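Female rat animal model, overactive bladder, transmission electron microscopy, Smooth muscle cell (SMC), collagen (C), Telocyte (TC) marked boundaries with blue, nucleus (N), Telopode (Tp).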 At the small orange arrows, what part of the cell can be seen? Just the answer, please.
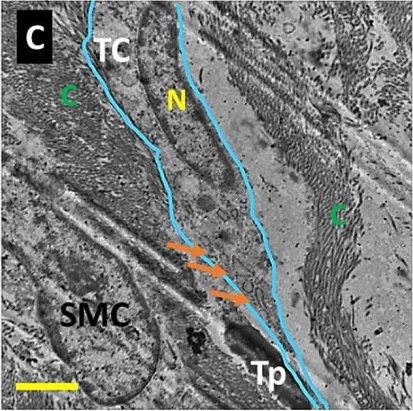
Vesicle.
